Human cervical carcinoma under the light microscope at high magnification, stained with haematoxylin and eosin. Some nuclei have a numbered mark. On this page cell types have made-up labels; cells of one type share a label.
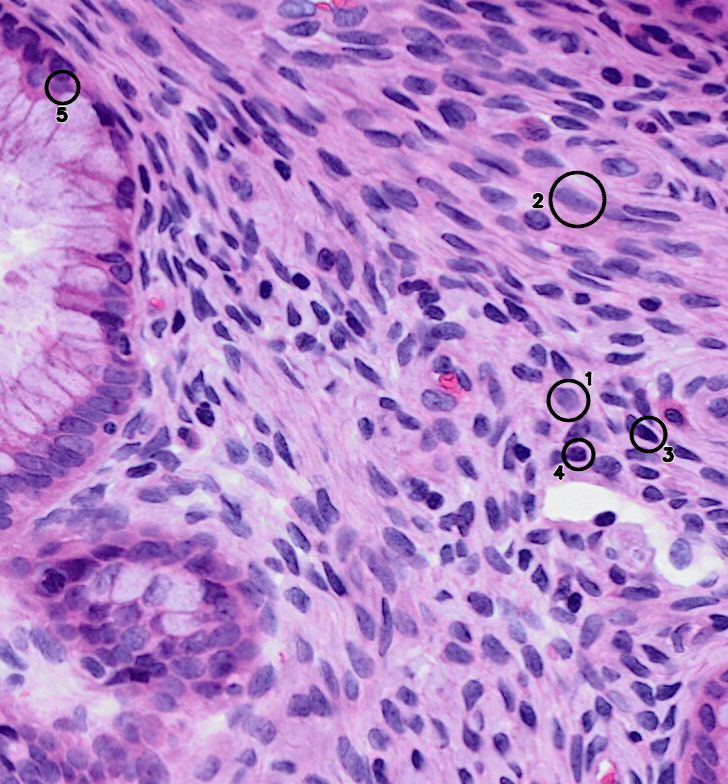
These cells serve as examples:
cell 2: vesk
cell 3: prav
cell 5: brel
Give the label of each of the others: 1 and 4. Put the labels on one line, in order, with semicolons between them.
vesk; prav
